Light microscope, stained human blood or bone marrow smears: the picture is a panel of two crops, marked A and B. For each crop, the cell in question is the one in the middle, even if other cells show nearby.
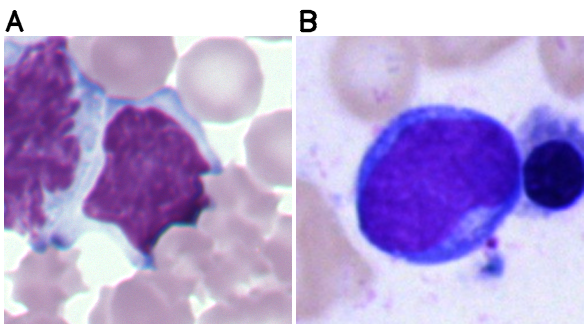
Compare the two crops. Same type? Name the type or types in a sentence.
No, crop A is where a lymphocyte is, and crop B is where a blast is.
